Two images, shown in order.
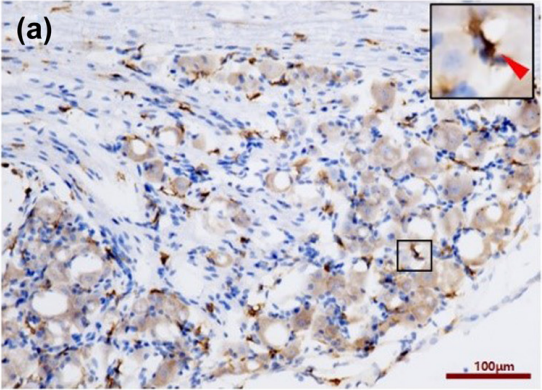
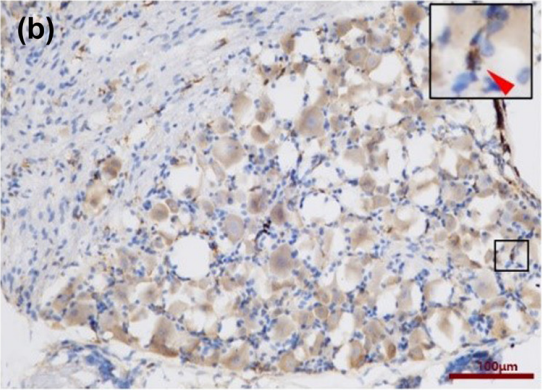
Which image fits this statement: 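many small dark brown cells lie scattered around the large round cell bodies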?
The first image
